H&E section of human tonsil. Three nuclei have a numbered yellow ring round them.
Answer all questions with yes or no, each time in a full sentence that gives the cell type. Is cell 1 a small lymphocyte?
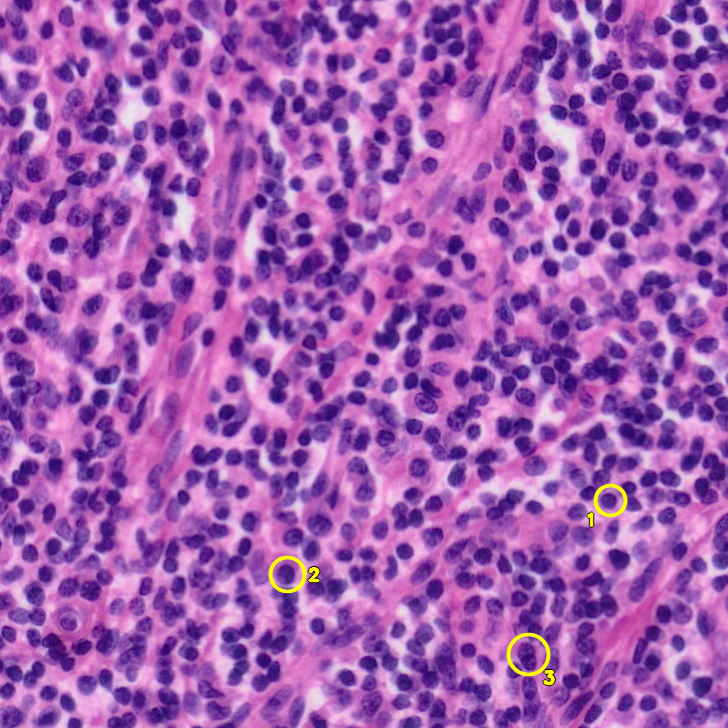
Yes, the cell shown as number 1 is a small lymphocyte.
